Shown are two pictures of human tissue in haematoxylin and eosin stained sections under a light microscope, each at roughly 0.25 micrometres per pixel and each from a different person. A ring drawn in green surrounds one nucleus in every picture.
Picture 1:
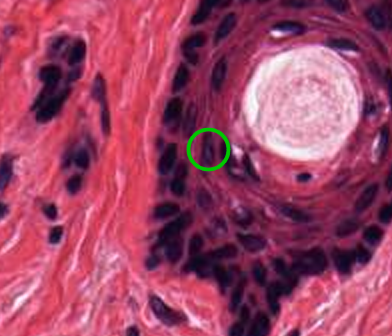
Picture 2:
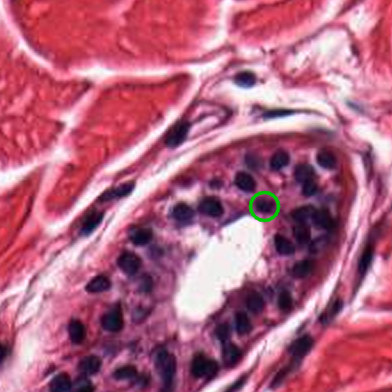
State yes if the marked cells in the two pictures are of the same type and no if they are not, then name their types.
No, the first is a keratinocyte and the second a sweat gland cell.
